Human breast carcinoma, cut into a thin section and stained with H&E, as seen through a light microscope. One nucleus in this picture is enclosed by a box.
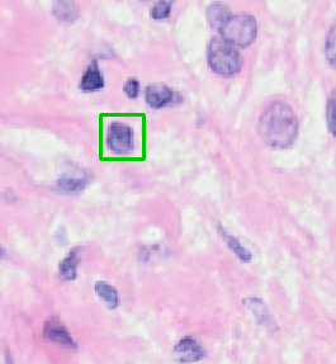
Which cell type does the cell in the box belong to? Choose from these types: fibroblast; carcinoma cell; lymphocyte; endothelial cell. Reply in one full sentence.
In the context of this tissue, the cell in the box is a lymphocyte.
